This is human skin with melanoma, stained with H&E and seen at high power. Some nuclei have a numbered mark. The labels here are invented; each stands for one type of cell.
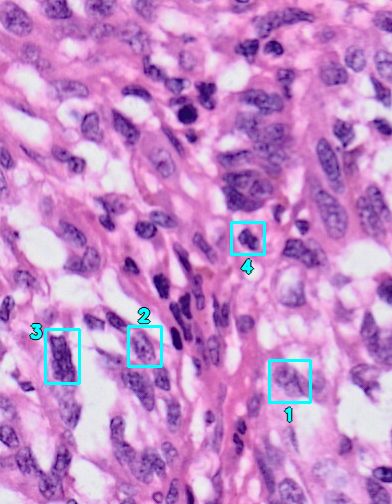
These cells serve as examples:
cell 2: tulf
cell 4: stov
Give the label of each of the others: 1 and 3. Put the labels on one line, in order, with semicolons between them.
tulf; tulf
